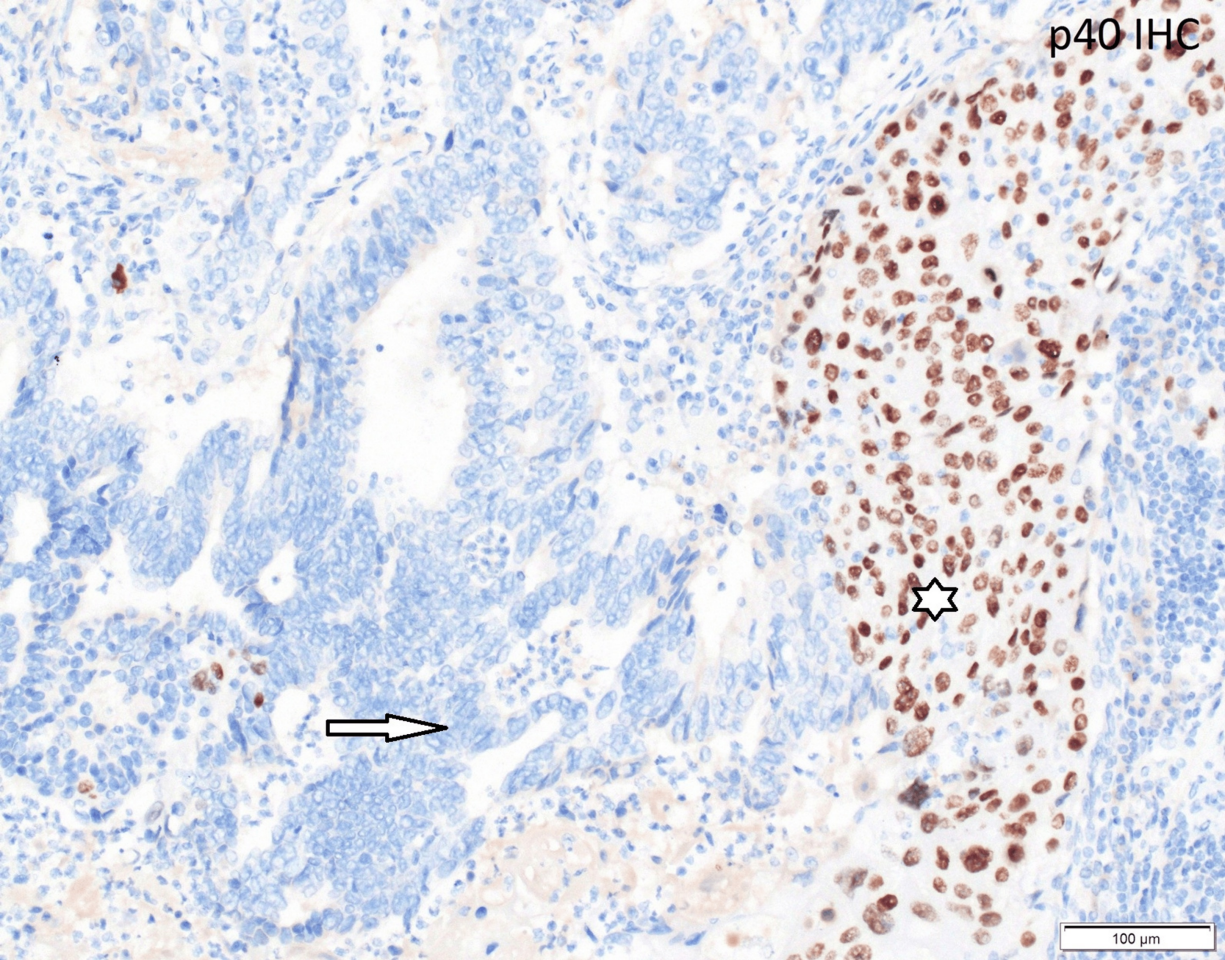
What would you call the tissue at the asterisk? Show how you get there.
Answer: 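A solid sheet of tumour cells without lumina. Most nuclei in this sheet are stained brown. The cells are larger and polygonal with ample cytoplasm.
Conclusion: squamous component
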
